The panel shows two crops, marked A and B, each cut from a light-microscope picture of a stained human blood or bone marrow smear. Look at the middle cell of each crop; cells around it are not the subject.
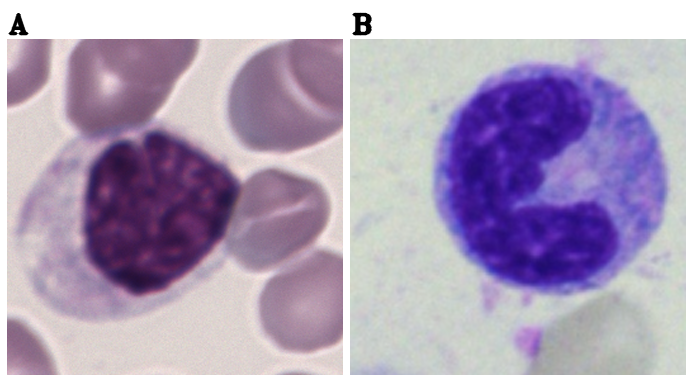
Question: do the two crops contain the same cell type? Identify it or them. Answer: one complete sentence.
No, in crop A the cell is a band neutrophil, and in crop B it is a monocyte.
